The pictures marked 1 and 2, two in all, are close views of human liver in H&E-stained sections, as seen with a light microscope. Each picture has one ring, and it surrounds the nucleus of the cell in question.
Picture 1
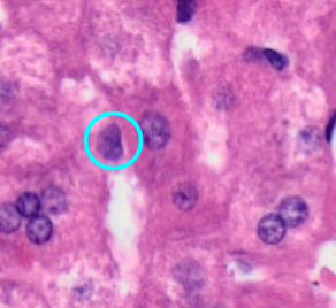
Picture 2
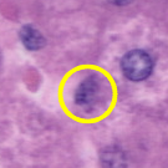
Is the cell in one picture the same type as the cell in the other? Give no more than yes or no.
yes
